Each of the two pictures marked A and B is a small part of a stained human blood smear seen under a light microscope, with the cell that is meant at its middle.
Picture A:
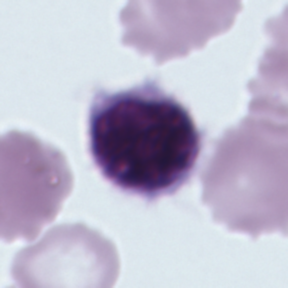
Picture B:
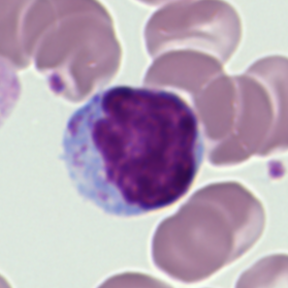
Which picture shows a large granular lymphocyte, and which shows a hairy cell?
A: hairy cell
B: large granular lymphocyte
